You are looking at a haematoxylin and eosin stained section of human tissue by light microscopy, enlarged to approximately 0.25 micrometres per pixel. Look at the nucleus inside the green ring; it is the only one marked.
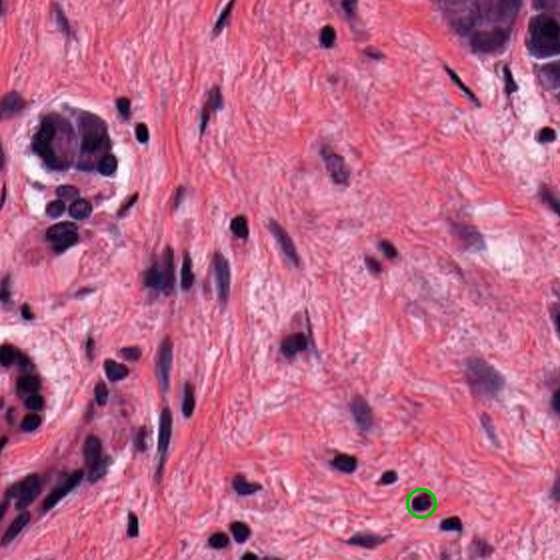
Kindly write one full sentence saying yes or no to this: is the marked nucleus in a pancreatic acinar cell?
No, a supporting cell rather than a pancreatic acinar cell is the cell of the marked nucleus.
